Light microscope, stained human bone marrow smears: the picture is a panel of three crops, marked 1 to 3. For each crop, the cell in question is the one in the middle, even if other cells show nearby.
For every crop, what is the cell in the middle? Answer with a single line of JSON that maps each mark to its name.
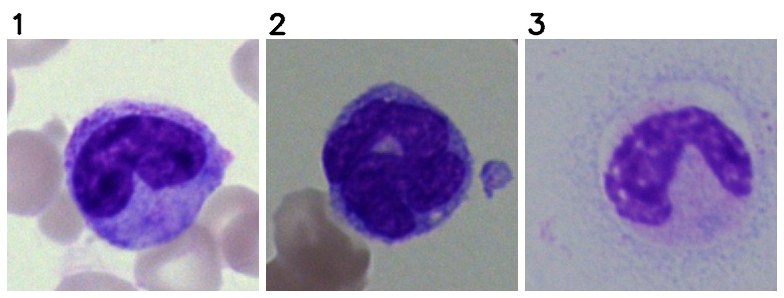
{"1": "monocyte", "2": "monocyte", "3": "band neutrophil"}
